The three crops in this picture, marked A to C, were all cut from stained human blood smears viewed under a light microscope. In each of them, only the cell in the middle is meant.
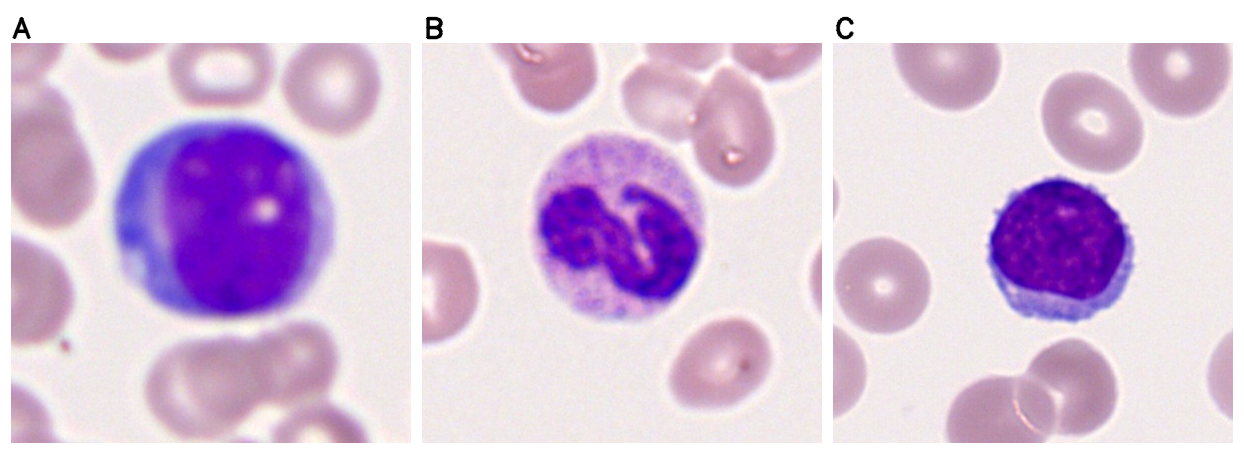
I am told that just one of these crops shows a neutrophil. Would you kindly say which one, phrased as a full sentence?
Within this set, crop B is the one with a neutrophil at its center.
